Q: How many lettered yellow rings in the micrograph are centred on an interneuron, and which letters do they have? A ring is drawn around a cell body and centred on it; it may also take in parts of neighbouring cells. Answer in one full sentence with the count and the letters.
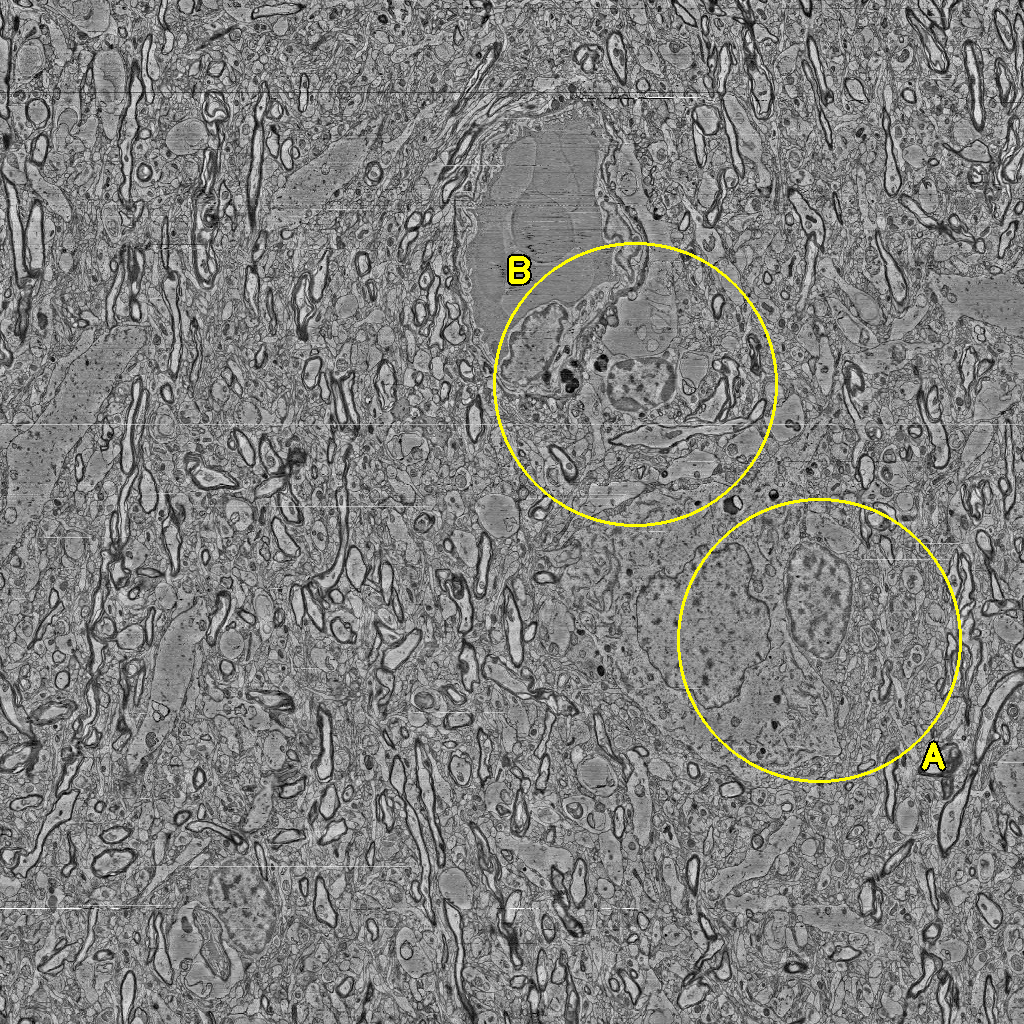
The rings are centred elsewhere, never on an interneuron, so the count comes out as zero.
